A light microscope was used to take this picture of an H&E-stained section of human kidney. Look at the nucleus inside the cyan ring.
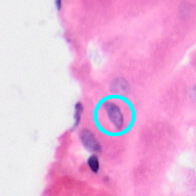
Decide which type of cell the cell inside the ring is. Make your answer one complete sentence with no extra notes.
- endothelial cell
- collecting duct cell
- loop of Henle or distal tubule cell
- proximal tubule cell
The expected answer is simply that the cell inside the ring is a proximal tubule cell.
